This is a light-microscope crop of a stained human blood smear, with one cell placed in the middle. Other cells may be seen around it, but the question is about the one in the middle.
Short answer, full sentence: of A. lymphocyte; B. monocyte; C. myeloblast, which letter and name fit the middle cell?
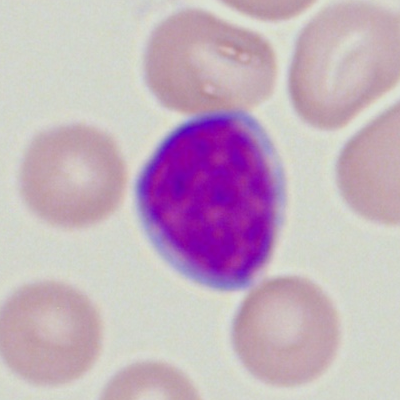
Option A holds, for the cell in the middle is a lymphocyte.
